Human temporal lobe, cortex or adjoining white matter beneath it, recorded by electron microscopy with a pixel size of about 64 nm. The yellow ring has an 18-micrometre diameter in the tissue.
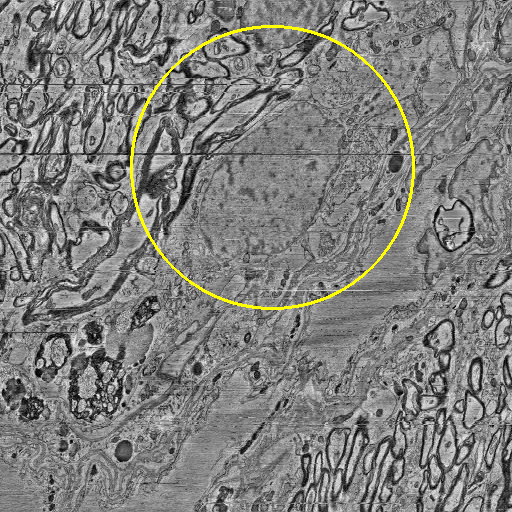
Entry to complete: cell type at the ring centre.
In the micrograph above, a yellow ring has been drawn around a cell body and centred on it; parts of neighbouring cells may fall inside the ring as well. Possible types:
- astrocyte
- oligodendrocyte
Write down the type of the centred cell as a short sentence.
The ring is centred on an astrocyte.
